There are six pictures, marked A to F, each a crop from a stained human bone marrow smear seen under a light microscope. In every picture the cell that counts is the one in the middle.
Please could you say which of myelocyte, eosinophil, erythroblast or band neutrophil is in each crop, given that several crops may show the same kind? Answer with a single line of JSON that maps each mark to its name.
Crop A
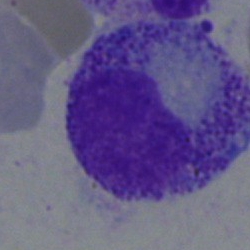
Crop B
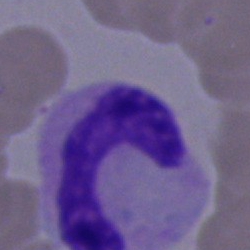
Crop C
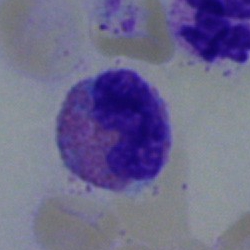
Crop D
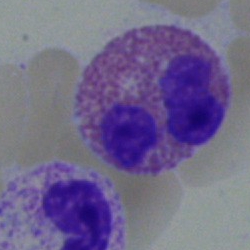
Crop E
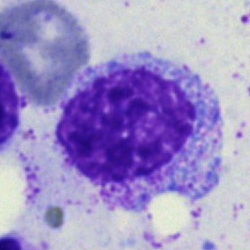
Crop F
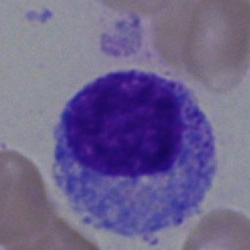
{"A": "myelocyte", "B": "band neutrophil", "C": "eosinophil", "D": "eosinophil", "E": "myelocyte", "F": "myelocyte"}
